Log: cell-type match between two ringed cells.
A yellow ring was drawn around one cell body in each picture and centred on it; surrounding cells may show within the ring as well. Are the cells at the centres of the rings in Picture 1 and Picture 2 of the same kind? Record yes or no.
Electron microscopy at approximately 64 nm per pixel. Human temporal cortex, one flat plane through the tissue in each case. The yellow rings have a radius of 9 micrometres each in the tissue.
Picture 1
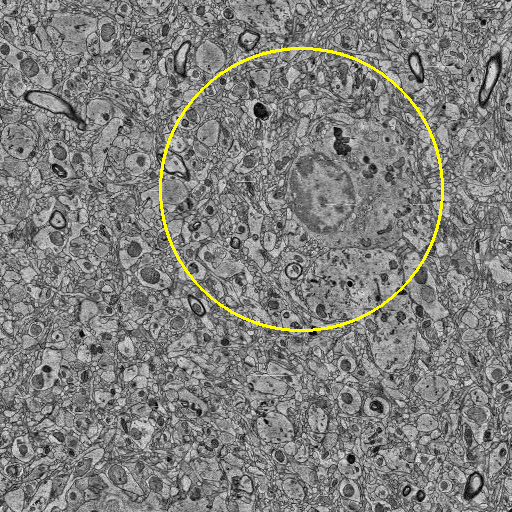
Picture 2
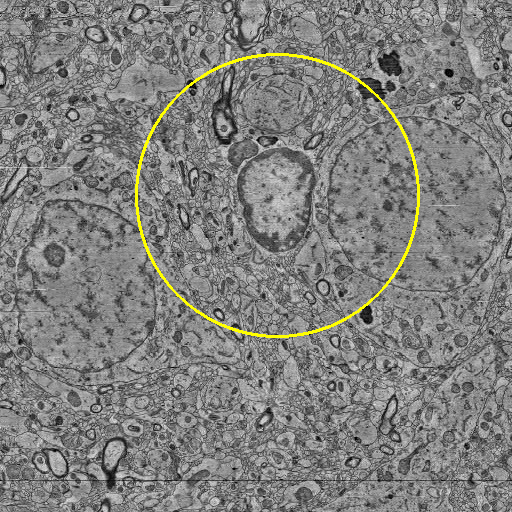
no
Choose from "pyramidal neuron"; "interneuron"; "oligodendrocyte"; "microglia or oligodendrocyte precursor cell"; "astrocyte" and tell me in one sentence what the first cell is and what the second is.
What the first ring is centred on is an oligodendrocyte; what the second ring is centred on is a microglial cell or oligodendrocyte precursor cell.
